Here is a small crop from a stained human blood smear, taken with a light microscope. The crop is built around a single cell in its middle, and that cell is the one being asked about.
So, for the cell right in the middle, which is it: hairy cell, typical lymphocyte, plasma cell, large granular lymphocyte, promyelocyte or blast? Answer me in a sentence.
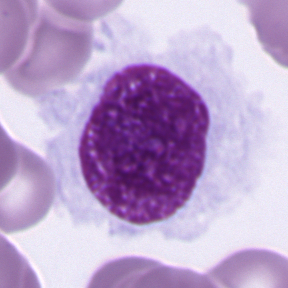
Centrally within this crop lies a hairy cell.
